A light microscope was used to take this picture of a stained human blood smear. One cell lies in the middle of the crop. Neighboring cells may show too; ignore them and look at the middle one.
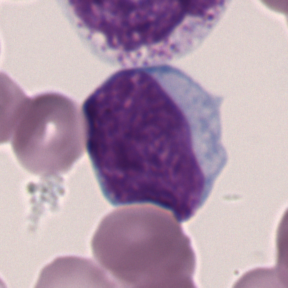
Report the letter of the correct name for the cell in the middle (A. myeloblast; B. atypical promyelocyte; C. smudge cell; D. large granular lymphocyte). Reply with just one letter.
A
